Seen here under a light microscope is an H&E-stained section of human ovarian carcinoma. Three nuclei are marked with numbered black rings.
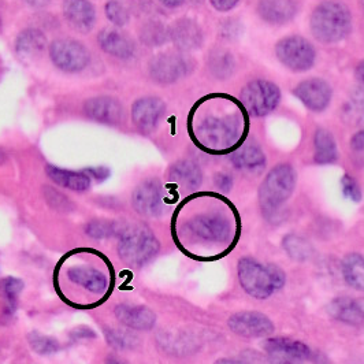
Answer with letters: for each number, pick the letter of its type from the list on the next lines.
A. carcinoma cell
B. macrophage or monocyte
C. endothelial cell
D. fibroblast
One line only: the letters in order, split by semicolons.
A; B; A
